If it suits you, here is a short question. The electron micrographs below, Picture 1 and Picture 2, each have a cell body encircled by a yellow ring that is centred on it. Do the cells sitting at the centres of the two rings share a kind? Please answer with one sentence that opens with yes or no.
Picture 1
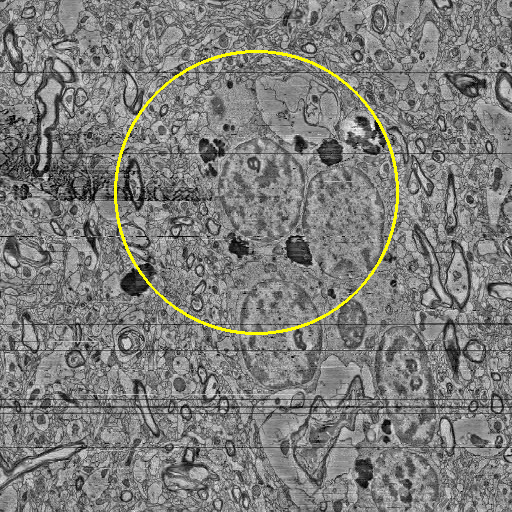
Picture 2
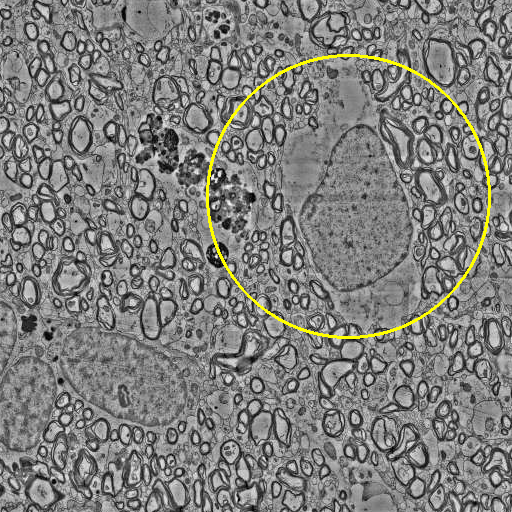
No, the two cells sitting at the ring centres fall into two kinds.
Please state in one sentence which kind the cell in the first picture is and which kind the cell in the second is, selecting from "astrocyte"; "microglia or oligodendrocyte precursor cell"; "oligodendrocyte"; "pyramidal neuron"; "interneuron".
The first ringed cell is an oligodendrocyte, the second ringed cell an astrocyte.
